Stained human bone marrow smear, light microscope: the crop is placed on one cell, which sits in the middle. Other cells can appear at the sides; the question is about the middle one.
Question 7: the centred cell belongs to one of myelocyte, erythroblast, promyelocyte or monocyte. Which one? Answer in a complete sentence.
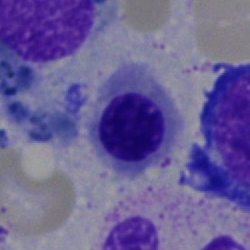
The middle position in this crop is taken by an erythroblast.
